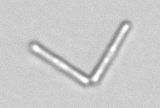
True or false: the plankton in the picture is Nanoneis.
True.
